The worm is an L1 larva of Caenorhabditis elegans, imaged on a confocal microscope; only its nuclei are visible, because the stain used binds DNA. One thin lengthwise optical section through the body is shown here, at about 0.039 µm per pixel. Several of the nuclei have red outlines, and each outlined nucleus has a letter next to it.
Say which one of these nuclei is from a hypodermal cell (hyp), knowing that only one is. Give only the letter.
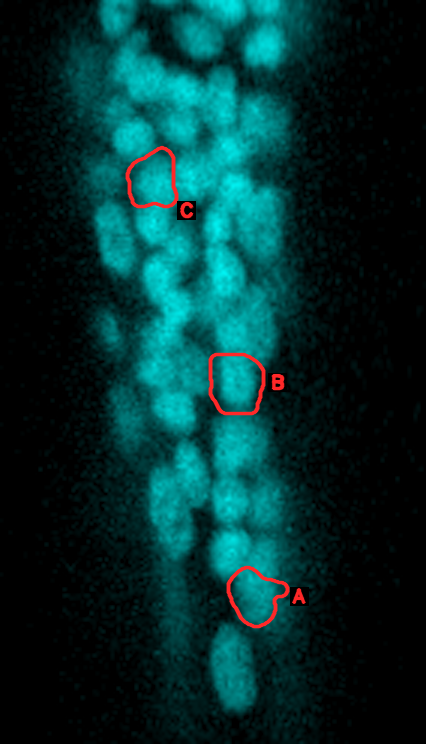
B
